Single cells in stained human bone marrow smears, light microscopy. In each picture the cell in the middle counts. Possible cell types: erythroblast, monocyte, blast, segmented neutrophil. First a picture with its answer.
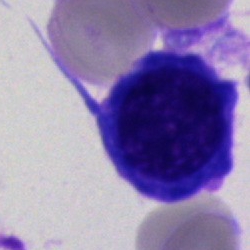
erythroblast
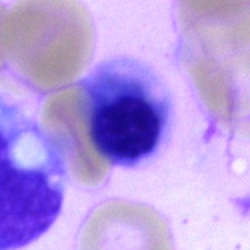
erythroblast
